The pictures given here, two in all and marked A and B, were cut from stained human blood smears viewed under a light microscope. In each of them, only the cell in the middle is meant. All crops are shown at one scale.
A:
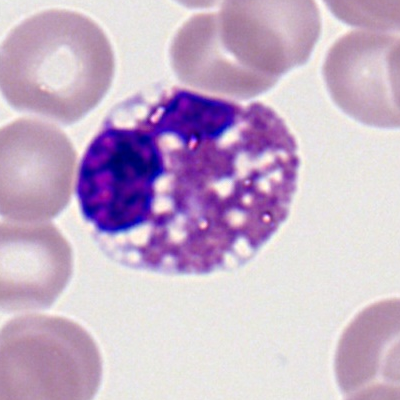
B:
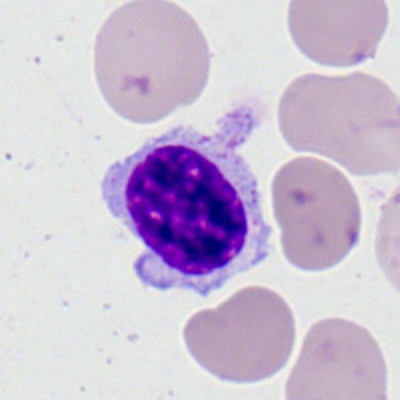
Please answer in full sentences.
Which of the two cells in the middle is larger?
It is the cell in crop A, about 1.5 times as large in area as the cell in crop B.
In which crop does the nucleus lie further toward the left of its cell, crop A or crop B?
It is the nucleus in crop A that lies further toward the left of its cell.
